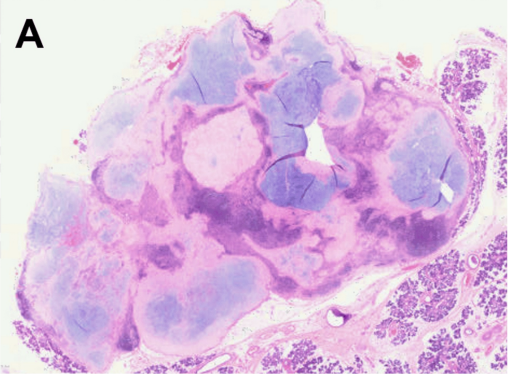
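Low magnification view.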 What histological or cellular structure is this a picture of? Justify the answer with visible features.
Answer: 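Well-demarcated mass. Surrounding tissue of small glandular lobules lies outside the border.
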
